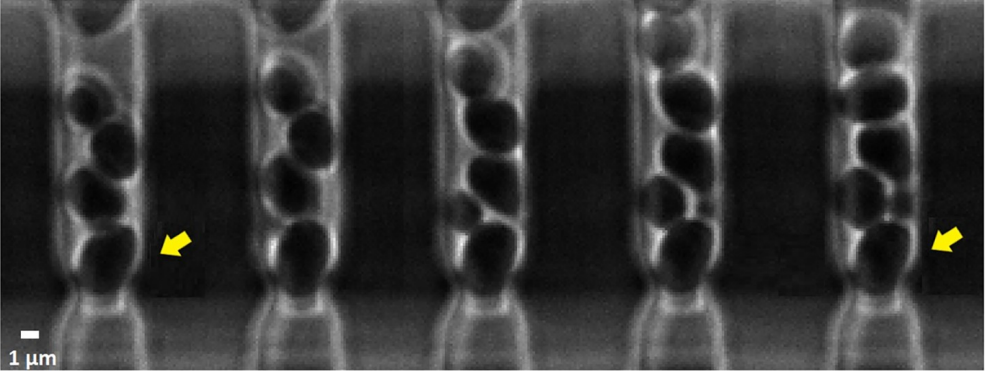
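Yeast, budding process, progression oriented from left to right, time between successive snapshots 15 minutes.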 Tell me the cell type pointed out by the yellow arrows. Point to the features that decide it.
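The arrowed cell sits at the bottom of the channel, just above the narrowing. Smaller round cells are stacked above it in the channel. The arrowed cell stays in place across the frames.
Mother cells.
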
